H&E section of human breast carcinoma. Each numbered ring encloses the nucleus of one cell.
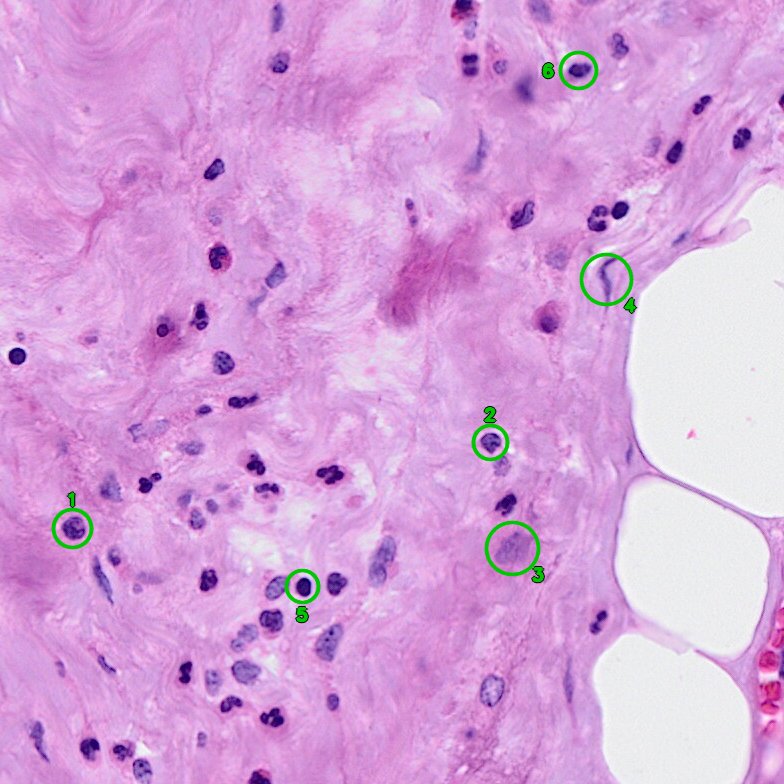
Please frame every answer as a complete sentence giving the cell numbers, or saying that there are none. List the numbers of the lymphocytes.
Cells numbered 1, 2, 5 and 6 belong to the group of lymphocytes.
